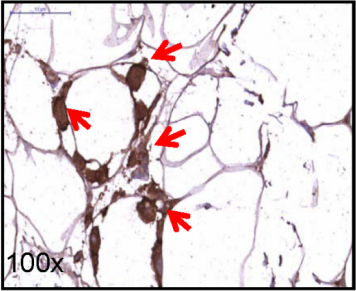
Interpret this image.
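This is adipose tissue composed of large, empty-looking fat cells separated by thin membranes. Between several fat cells lie dense, dark brown-stained cells, clustered in the interstitial spaces and along the septa. These stained cells are elongated or rounded and far smaller than the fat cells around them. Toward the edges the tissue shows fragmented membranes and pale stroma without strong staining.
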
